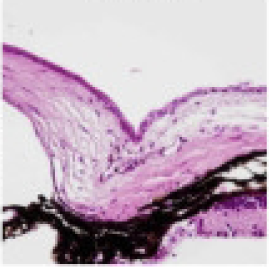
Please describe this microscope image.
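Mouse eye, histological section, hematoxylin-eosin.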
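A thin, purple-staining epithelial layer lines the outer surface over a thick, pale-pink, layered fibrous stroma with sparse flattened nuclei. Along the inner side lies a band of densely black pigmented tissue that follows the curve of the wall.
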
